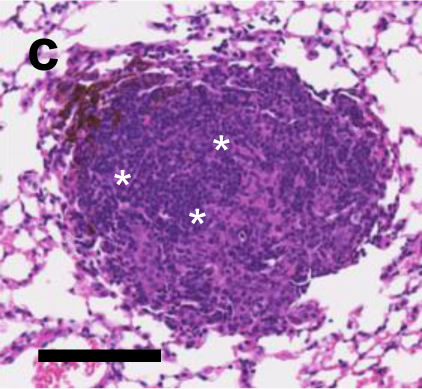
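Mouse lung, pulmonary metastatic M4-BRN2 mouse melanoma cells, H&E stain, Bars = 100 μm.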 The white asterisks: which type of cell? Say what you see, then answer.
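Tumor-infiltrating lymphocytes. The asterisks lie in a dense region of small, round, darkly staining nuclei. This region sits inside a rounded nodule surrounded by thin-walled alveoli.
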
